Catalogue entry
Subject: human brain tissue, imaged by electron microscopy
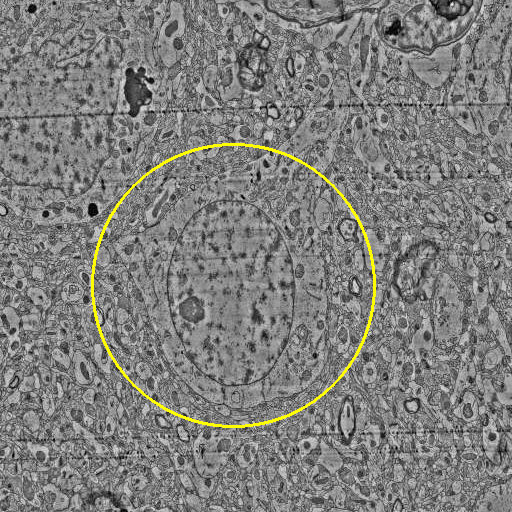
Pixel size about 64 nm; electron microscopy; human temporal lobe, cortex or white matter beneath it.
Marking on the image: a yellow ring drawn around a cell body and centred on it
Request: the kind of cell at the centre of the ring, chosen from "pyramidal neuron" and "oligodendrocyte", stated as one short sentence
The ring has a pyramidal neuron at its centre.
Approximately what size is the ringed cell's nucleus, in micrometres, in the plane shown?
Roughly 12 by 8 micrometres in this plane, for the nucleus of the ringed cell.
